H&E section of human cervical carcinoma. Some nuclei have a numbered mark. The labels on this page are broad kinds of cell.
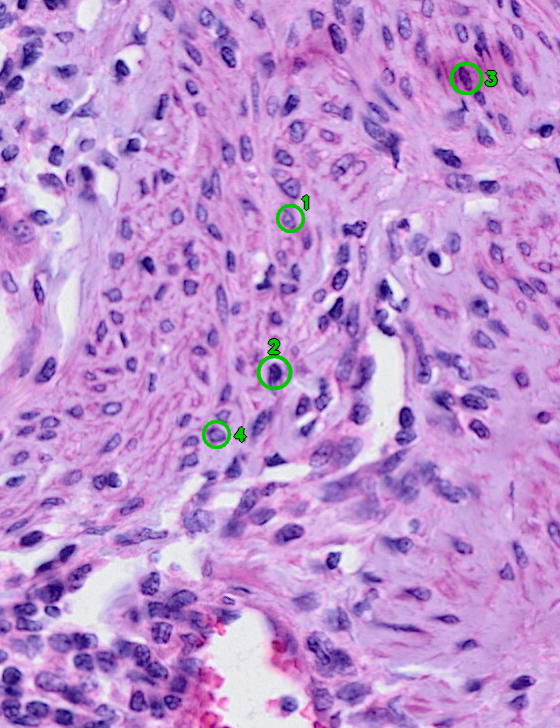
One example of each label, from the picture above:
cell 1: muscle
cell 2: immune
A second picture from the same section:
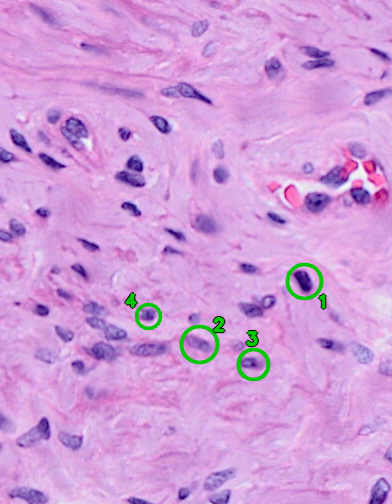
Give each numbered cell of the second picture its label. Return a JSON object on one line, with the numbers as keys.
{"1": "immune", "2": "muscle", "3": "muscle", "4": "muscle"}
